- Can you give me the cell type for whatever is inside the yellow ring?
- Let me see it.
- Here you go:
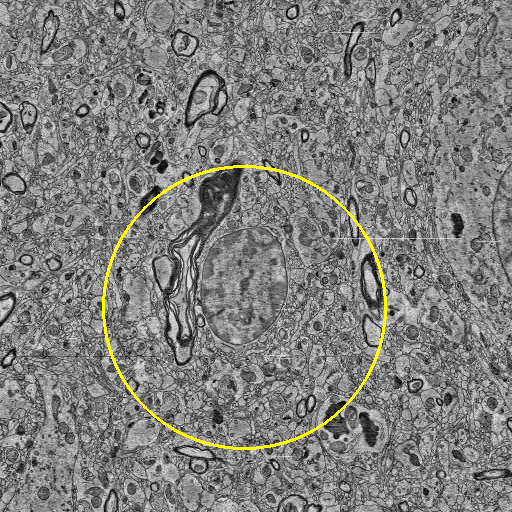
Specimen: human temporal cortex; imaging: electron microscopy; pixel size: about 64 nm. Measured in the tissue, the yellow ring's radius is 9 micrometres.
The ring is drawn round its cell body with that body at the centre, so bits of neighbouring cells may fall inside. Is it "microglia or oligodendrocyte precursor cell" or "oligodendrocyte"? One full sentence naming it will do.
The cell body in the middle of the ring in this picture belongs to a microglial cell or oligodendrocyte precursor cell.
